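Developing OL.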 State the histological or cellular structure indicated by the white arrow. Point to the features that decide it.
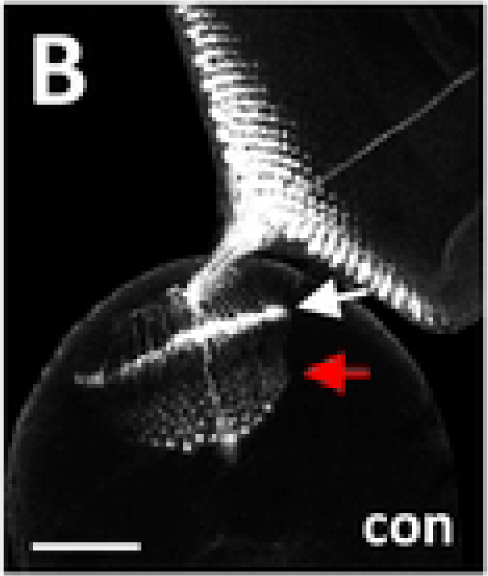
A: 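Lamina plexuses. The band spreads out from the axon bundle to both sides.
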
